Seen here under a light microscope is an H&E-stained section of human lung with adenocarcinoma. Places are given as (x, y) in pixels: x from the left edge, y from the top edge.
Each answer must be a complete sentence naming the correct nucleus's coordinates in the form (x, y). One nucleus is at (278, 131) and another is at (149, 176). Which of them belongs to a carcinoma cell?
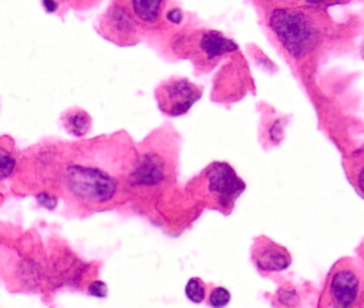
The nucleus at (149, 176), rather than the other, belongs to a carcinoma cell.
